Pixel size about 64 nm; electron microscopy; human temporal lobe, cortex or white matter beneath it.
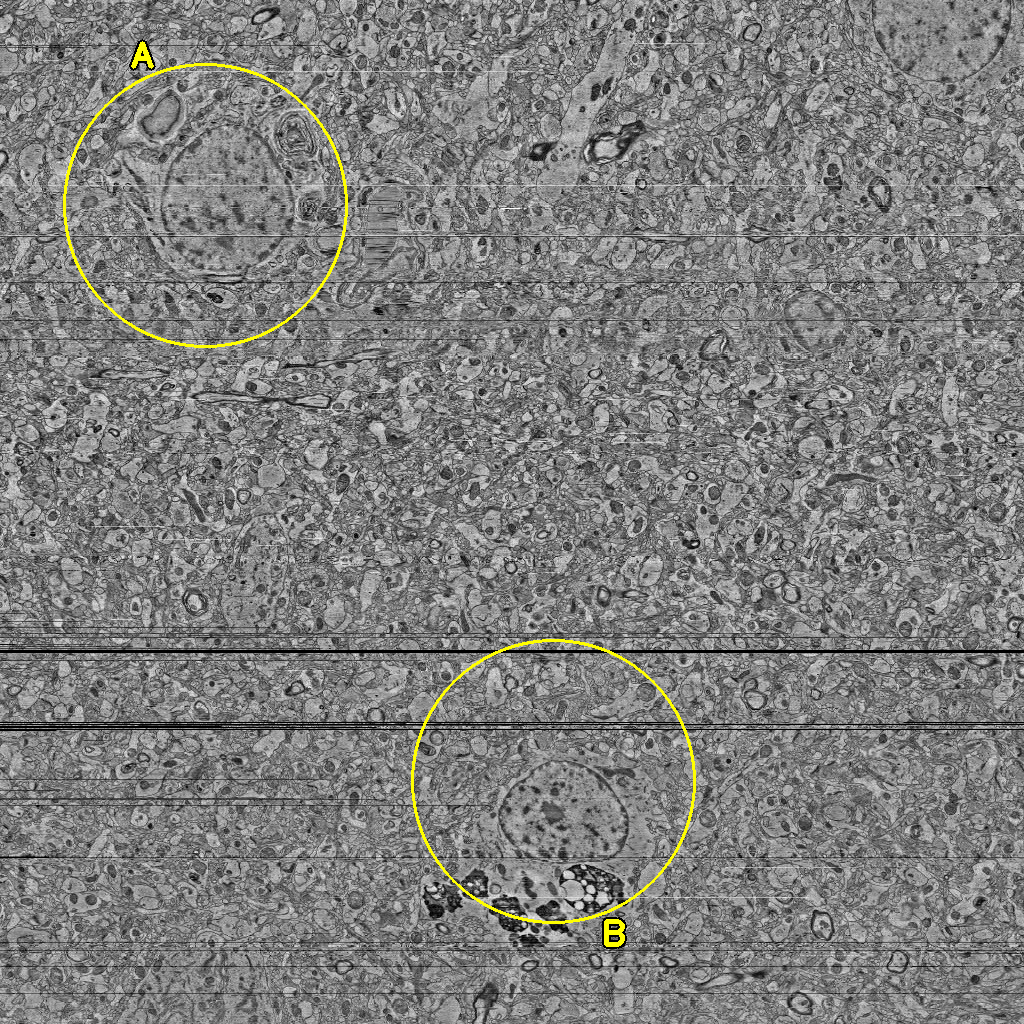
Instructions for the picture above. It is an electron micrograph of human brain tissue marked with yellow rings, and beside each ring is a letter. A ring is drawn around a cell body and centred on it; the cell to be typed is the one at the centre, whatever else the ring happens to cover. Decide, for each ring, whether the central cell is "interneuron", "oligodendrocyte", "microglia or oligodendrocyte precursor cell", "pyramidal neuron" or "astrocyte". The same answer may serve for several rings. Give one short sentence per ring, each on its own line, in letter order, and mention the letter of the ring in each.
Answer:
Ring A is drawn around an astrocyte.
Ring B is drawn around an astrocyte.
